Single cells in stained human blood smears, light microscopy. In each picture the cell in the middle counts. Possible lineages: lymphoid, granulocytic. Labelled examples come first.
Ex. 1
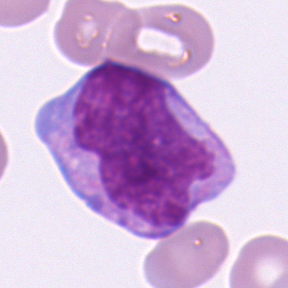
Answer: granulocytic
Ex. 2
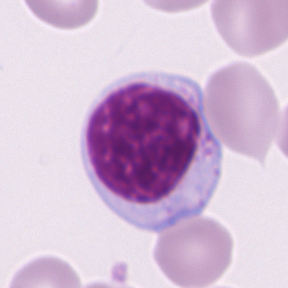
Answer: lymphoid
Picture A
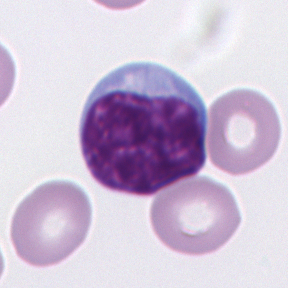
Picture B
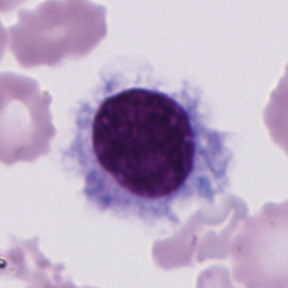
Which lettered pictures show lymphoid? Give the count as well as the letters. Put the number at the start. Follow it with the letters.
2, namely A, B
